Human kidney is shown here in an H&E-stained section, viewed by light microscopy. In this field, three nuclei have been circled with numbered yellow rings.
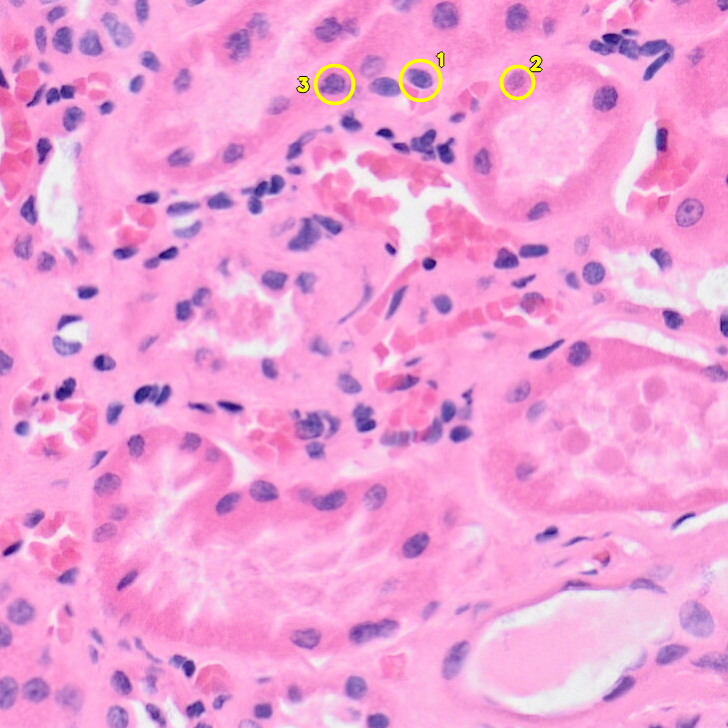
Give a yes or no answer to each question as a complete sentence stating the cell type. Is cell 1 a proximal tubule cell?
No, cell number 1 is an endothelial cell; it is not a proximal tubule cell.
